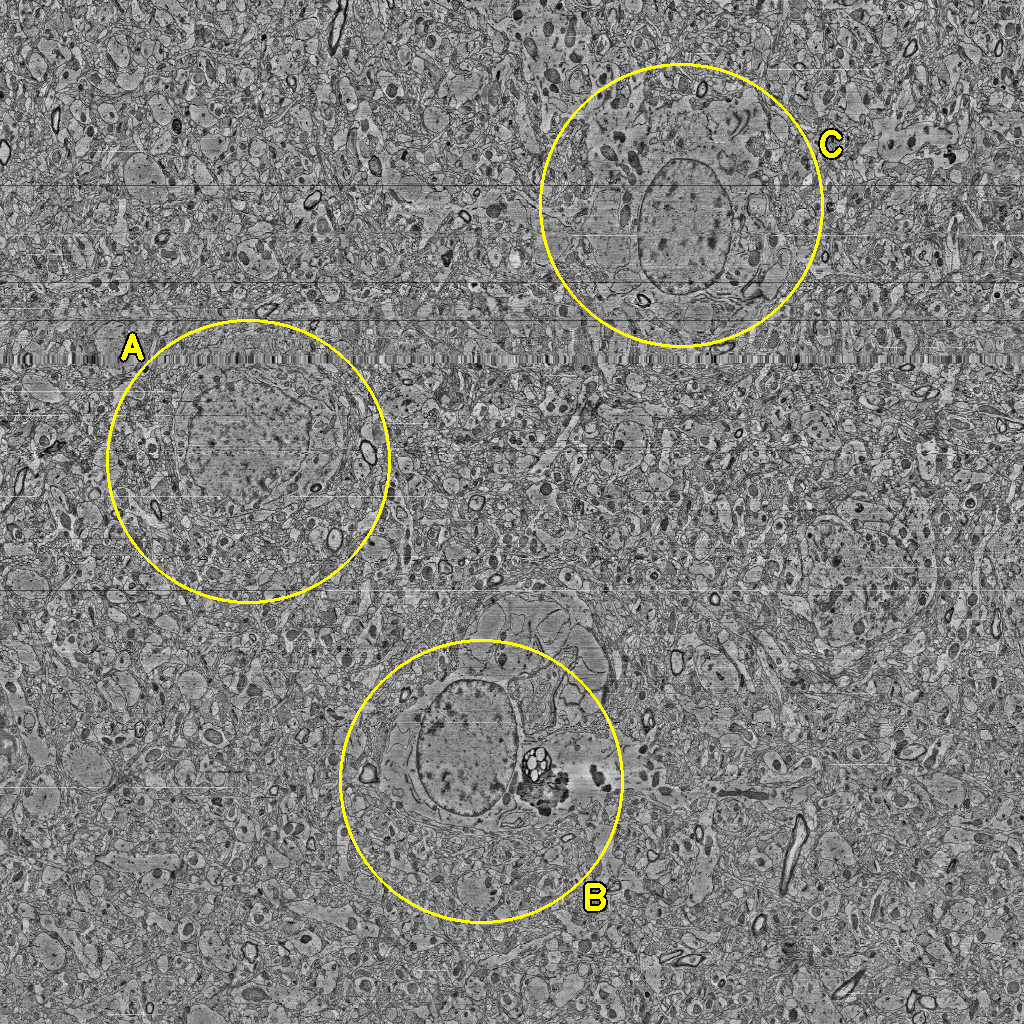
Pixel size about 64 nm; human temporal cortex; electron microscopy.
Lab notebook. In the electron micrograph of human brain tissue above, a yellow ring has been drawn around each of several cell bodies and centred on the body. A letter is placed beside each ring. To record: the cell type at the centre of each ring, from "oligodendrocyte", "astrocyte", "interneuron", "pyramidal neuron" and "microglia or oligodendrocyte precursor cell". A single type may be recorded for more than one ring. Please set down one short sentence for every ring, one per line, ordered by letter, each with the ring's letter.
The centre of ring A is occupied by an interneuron.
The centre of ring B is occupied by an astrocyte.
The centre of ring C is occupied by an astrocyte.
